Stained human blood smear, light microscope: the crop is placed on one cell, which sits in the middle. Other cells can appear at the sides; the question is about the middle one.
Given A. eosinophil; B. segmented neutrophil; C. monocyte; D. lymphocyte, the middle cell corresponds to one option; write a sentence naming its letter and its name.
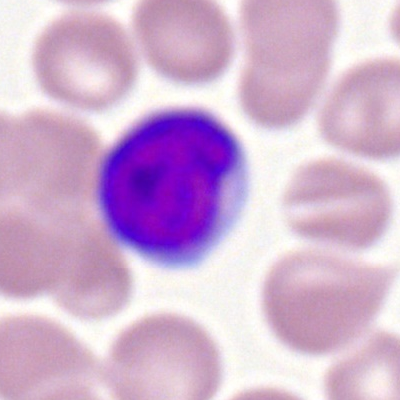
The cell positioned centrally is a lymphocyte, as given in option D, which is correct.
